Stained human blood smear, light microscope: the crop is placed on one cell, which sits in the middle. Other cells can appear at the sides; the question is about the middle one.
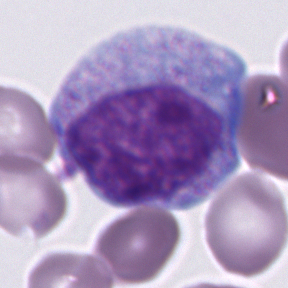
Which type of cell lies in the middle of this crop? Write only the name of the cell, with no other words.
promyelocyte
